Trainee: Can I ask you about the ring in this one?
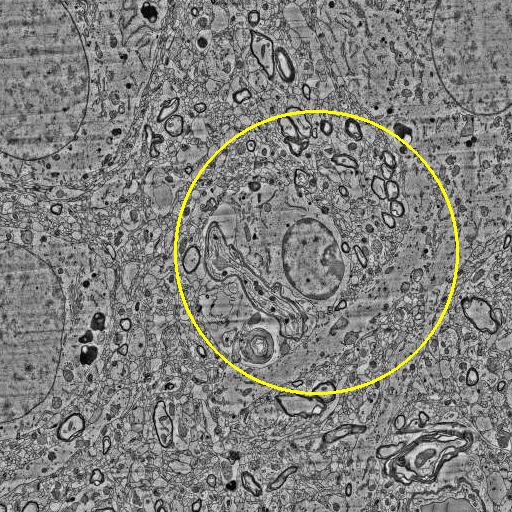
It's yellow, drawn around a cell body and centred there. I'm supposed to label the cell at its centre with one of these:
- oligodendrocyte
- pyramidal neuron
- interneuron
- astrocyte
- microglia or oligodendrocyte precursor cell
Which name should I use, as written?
microglia or oligodendrocyte precursor cell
